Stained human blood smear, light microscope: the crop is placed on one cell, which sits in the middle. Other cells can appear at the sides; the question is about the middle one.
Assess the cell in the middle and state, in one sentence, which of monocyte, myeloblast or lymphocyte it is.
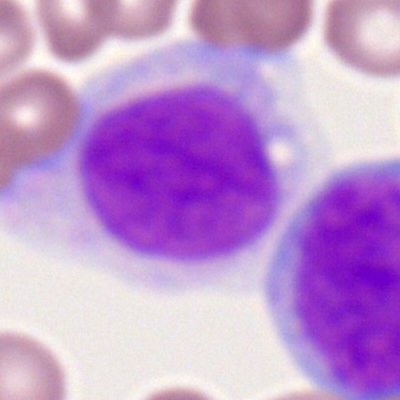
The target cell in the middle of the crop is a monocyte.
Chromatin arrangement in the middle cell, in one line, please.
In this cell the chromatin is fine rather than coarsely clumped.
